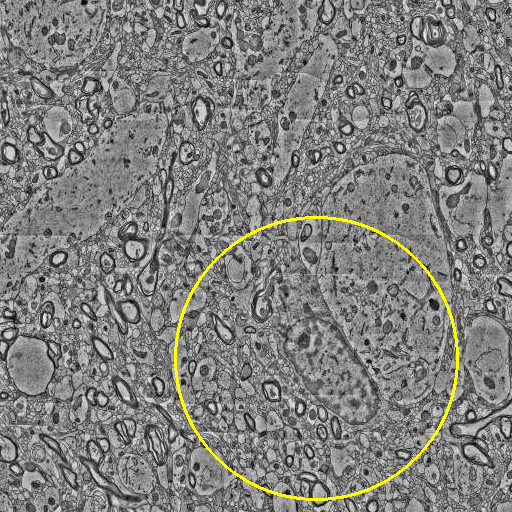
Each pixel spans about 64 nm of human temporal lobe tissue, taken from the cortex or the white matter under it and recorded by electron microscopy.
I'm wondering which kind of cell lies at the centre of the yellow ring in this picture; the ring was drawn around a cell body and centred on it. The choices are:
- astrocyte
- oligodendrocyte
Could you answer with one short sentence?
At the centre of the ring lies an oligodendrocyte.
